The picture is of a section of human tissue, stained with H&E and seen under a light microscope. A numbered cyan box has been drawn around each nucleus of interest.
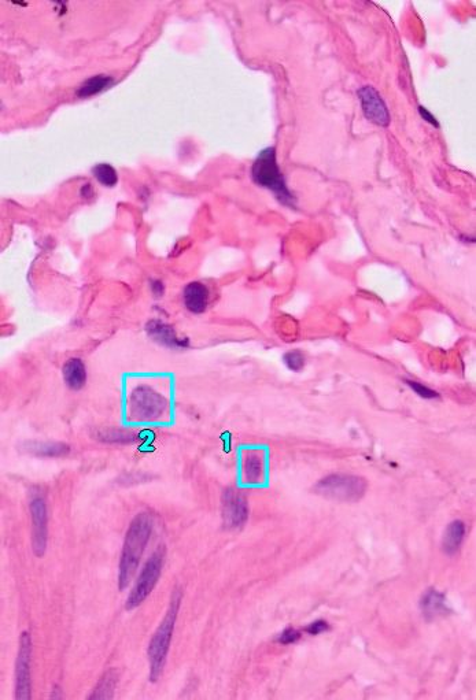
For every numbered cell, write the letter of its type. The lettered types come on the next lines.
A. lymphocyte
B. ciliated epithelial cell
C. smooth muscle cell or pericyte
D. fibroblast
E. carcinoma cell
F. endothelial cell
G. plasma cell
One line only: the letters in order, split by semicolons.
C; D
